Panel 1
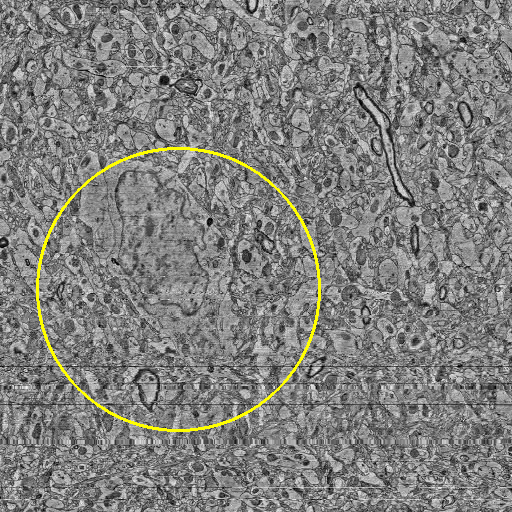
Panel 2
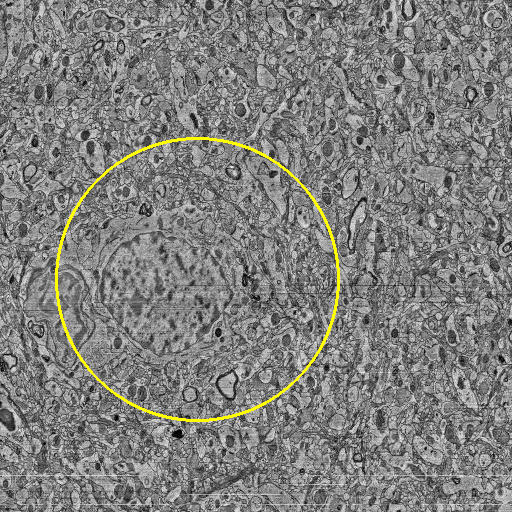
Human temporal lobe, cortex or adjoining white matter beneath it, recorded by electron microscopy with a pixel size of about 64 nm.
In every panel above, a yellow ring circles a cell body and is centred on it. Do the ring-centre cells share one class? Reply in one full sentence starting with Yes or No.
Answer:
No, the two cells at the ring centres in the panels belong to two classes.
